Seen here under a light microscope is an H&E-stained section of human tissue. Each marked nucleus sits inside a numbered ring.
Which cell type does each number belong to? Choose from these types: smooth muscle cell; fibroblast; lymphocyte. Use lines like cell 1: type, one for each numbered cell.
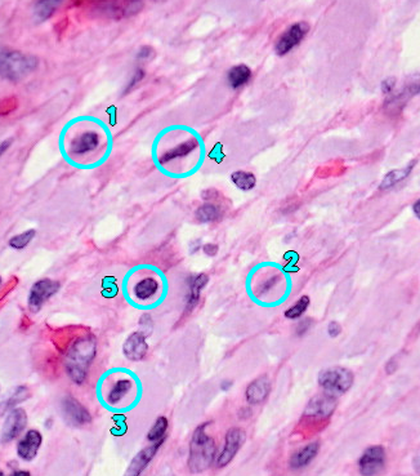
cell 1: lymphocyte
cell 2: fibroblast
cell 3: lymphocyte
cell 4: fibroblast
cell 5: lymphocyte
